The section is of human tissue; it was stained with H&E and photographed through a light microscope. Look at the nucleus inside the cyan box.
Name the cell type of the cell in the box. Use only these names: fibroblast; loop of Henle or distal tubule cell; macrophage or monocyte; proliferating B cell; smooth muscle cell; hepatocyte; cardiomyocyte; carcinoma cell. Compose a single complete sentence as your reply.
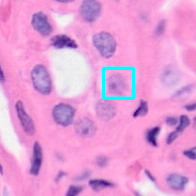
As to its cell type, the cell in the box is a loop of Henle or distal tubule cell.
